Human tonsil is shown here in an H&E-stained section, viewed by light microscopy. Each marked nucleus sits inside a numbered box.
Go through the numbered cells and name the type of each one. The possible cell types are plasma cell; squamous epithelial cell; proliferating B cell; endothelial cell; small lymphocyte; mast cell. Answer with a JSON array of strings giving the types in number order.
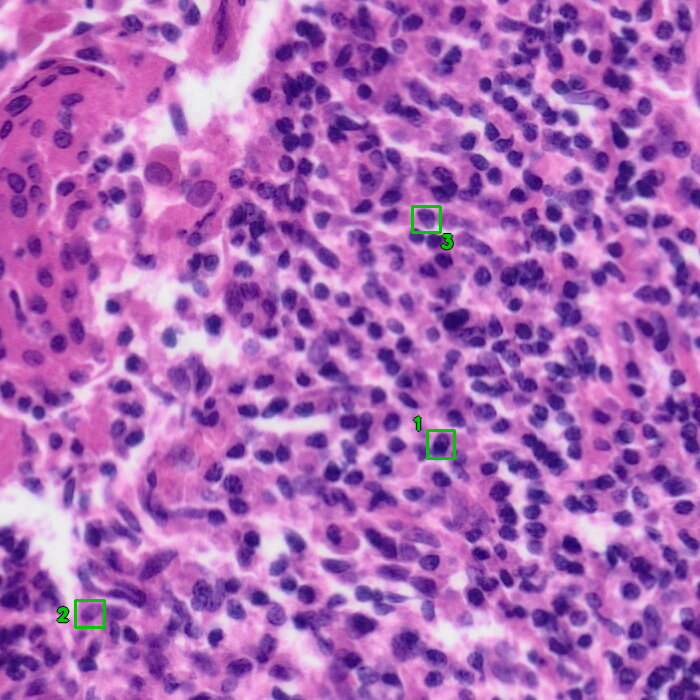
["plasma cell", "squamous epithelial cell", "plasma cell"]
